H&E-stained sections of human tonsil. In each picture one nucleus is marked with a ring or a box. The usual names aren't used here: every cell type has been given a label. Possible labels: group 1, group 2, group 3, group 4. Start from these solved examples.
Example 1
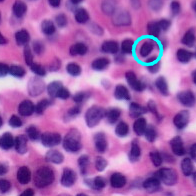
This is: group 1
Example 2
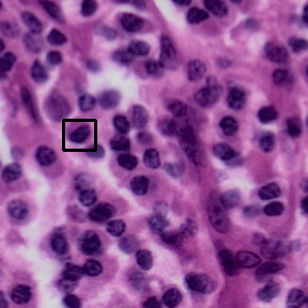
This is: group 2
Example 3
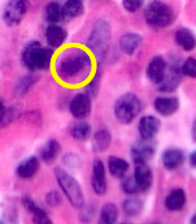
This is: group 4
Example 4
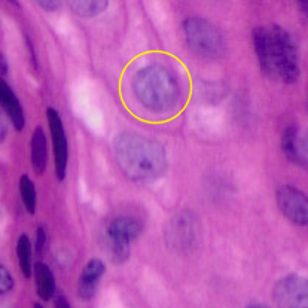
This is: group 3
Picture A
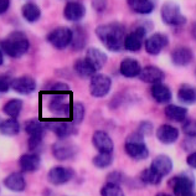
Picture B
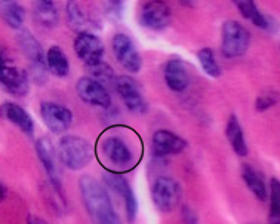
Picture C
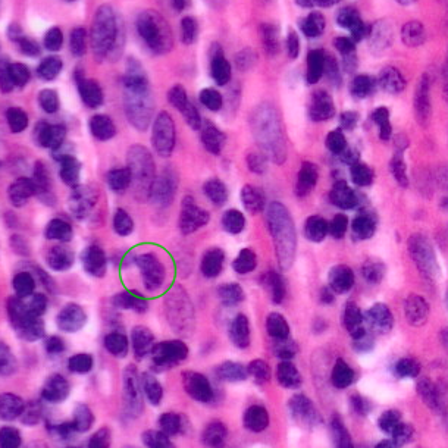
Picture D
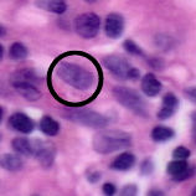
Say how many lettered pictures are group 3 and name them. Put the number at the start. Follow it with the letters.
0, none of them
